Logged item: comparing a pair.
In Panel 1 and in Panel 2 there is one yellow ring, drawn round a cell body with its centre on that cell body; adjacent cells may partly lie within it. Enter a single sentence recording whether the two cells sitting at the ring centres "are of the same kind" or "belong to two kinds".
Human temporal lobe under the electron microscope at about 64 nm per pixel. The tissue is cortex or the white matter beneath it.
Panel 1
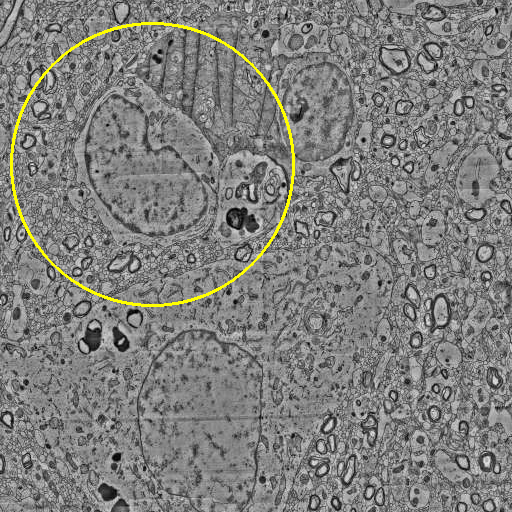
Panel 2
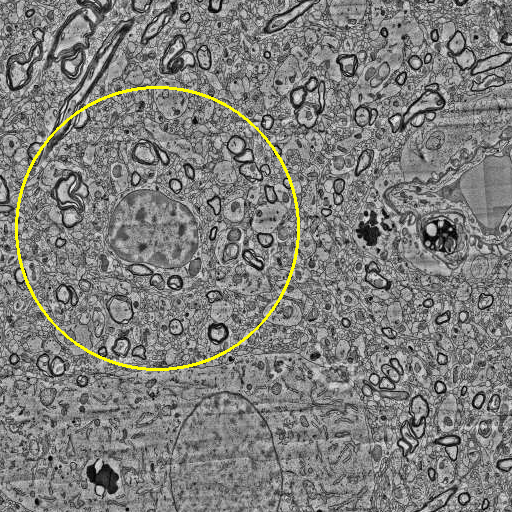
Logged: the cells centred in the rings of Panel 1 and Panel 2 are of the same kind.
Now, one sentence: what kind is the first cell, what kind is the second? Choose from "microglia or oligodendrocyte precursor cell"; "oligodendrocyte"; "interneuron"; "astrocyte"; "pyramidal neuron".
In both pictures the ring is centred on a microglial cell or oligodendrocyte precursor cell.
